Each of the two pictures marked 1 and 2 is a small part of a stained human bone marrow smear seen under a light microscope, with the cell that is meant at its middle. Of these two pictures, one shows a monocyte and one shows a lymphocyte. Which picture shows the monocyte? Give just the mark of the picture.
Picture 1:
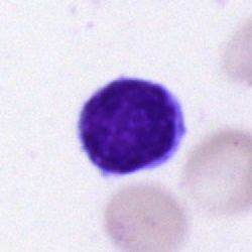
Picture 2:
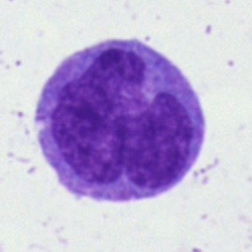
2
